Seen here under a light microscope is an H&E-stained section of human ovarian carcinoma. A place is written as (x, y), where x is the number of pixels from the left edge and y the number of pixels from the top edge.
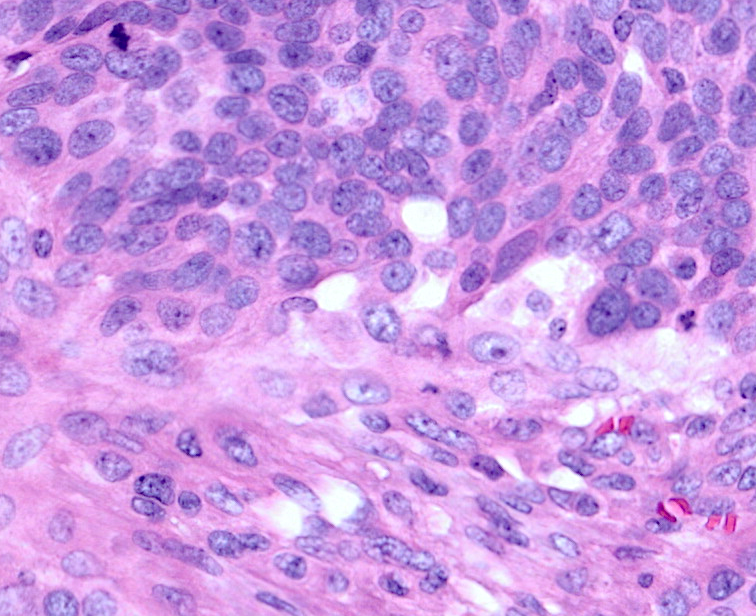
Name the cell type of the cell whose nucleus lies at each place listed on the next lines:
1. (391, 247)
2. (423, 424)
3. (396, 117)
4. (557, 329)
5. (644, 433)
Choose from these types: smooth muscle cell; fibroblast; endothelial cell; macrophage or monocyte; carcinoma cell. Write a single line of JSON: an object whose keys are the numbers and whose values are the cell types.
{"1": "carcinoma cell", "2": "endothelial cell", "3": "carcinoma cell", "4": "macrophage or monocyte", "5": "endothelial cell"}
